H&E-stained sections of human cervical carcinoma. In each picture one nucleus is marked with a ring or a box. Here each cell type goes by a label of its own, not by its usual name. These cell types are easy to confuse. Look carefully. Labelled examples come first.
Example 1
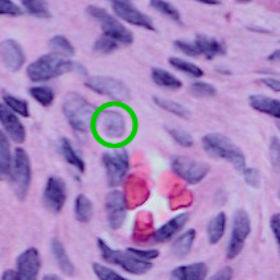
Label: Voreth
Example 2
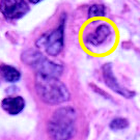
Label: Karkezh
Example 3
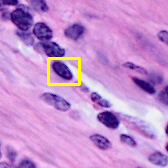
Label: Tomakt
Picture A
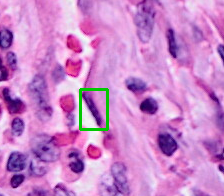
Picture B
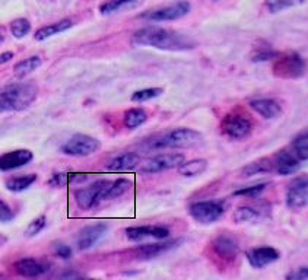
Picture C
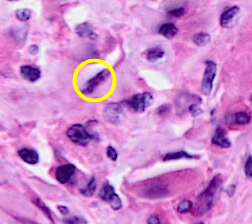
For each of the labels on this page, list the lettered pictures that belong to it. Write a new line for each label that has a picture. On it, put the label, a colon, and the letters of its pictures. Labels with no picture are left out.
Voreth: A, B, C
